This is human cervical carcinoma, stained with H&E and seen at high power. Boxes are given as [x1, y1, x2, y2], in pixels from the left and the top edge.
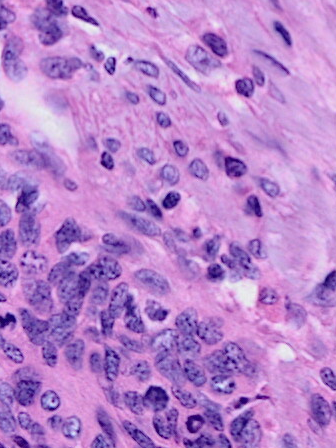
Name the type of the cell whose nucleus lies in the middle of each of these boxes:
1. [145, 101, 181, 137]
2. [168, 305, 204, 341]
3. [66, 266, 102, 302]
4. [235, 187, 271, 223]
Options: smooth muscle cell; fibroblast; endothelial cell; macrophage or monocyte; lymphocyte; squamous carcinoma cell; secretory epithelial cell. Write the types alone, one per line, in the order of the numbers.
smooth muscle cell
squamous carcinoma cell
squamous carcinoma cell
lymphocyte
